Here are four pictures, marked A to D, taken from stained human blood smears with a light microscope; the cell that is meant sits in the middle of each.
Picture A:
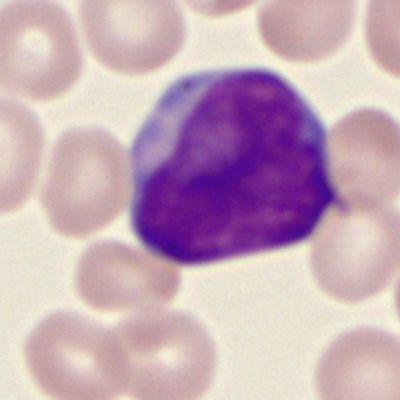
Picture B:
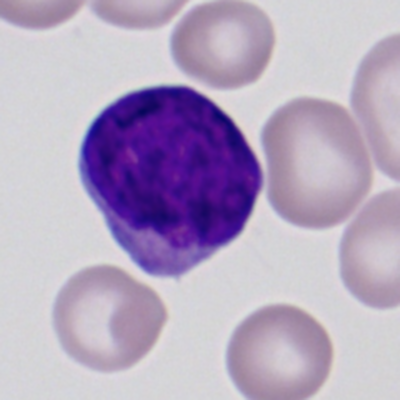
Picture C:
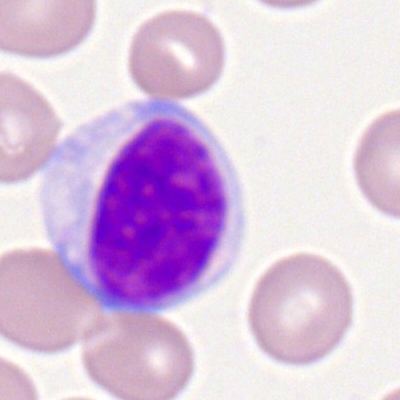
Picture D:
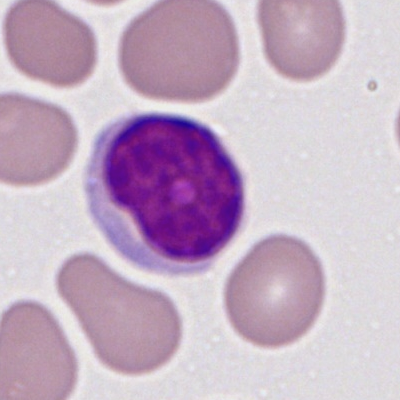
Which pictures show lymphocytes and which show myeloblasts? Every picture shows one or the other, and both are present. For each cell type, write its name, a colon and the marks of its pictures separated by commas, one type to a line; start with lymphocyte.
lymphocyte: C, D
myeloblast: A, B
